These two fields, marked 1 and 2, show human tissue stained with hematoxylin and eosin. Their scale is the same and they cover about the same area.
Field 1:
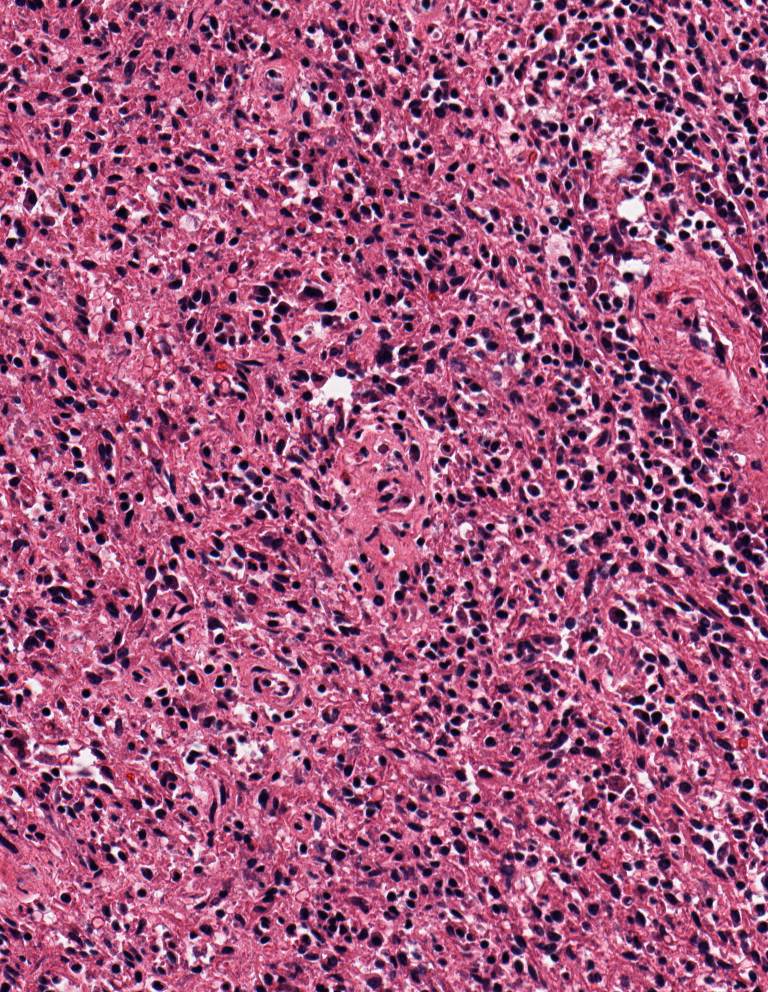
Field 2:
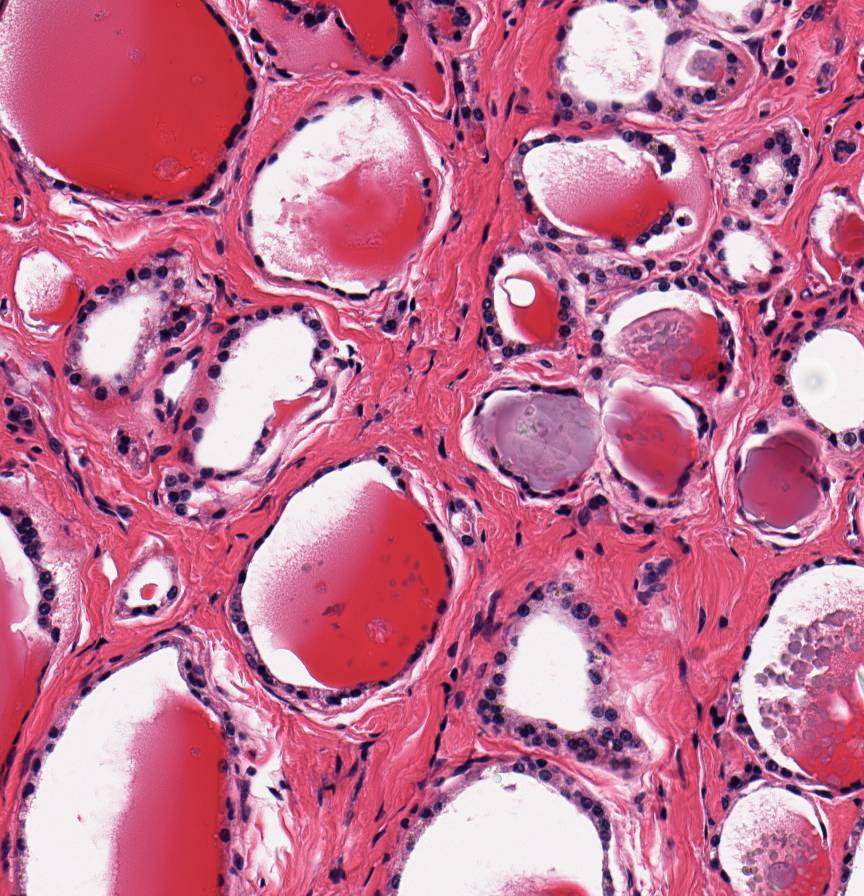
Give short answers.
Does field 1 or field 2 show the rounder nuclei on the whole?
1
